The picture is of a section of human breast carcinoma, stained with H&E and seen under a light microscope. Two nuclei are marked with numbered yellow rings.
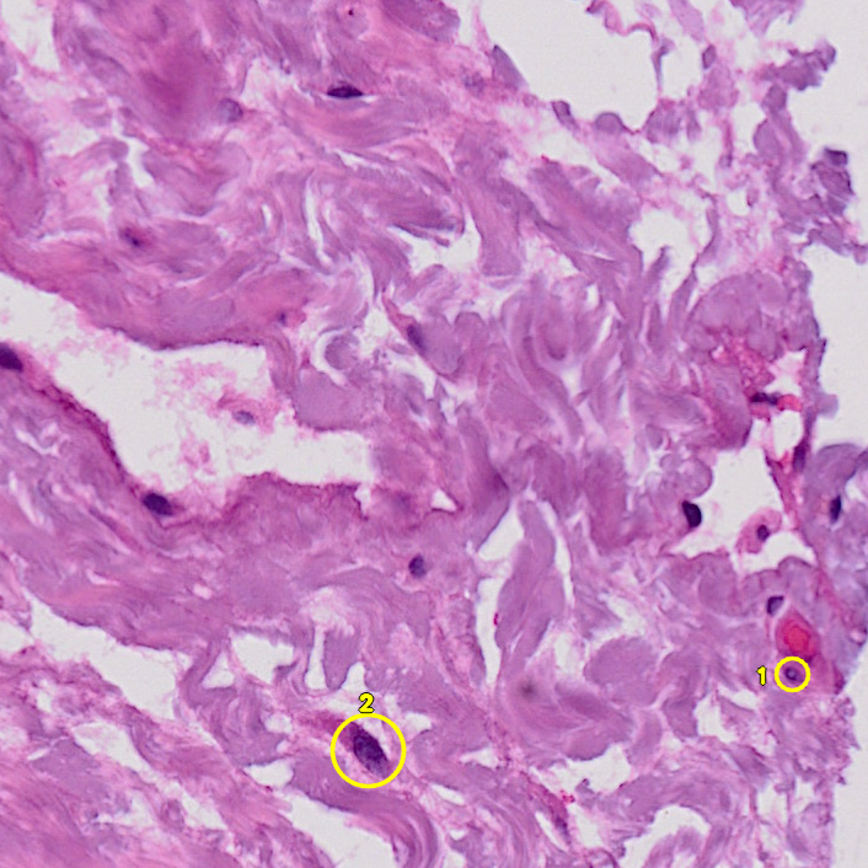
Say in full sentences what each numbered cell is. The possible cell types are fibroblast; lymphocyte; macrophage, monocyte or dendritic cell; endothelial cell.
Cell 1 is an endothelial cell. Cell 2 is a fibroblast.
